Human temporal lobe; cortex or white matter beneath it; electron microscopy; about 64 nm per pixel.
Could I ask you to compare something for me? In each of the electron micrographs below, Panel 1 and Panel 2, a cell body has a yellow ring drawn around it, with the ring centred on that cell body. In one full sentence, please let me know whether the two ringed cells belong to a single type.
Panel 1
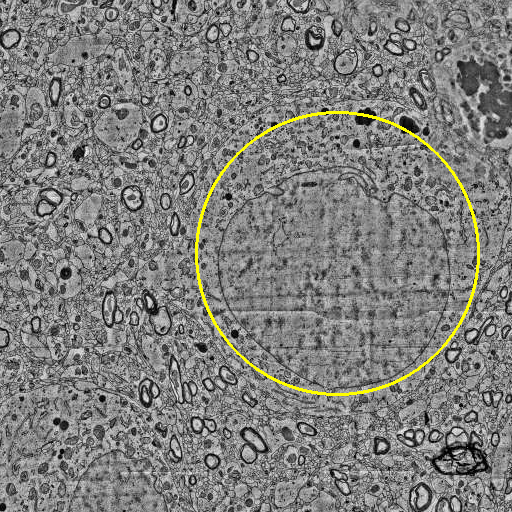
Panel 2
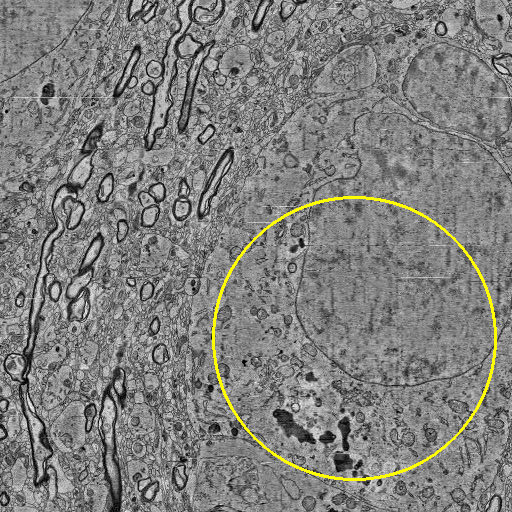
Yes, the two cells at the centres of the rings are of one type.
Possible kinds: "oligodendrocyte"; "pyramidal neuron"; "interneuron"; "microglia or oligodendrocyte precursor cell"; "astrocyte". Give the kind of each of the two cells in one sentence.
Both the first and the second picture show a pyramidal neuron in the ring.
